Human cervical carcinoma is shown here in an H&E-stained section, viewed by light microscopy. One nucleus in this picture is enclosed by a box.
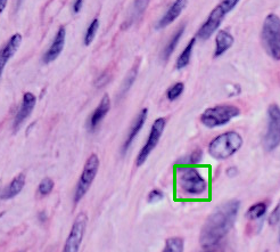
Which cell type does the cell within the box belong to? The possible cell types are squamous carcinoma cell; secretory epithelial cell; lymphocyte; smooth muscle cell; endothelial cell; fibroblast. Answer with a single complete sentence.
This is an endothelial cell.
